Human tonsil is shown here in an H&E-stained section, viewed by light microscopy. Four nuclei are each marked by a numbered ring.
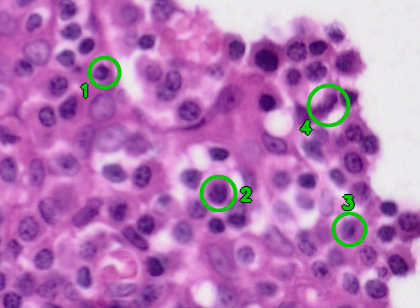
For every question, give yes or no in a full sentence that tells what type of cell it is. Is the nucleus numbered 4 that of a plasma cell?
No, cell 4 isn't a plasma cell; it's a squamous epithelial cell.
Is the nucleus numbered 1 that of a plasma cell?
No, cell 1 does not count as a plasma cell; it is a squamous epithelial cell.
